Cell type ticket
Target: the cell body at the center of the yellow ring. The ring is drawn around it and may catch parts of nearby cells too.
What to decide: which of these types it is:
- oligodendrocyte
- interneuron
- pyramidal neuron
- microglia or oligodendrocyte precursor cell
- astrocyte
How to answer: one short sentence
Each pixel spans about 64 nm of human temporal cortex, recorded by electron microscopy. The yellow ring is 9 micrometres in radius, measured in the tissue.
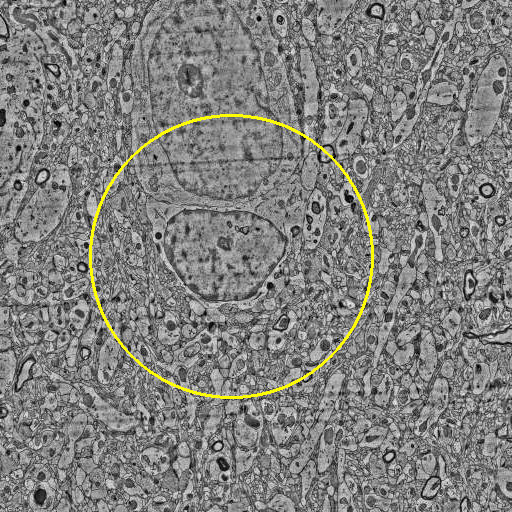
The cell at the center of the ring is a microglial cell or oligodendrocyte precursor cell.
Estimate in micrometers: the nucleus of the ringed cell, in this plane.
Roughly 8 micrometres by 6 micrometres, in this plane.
